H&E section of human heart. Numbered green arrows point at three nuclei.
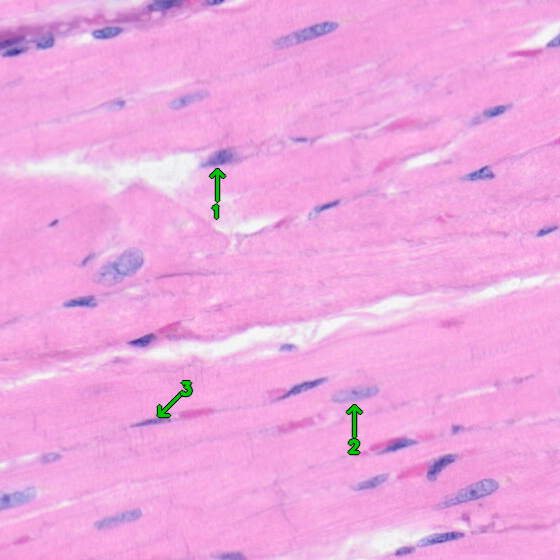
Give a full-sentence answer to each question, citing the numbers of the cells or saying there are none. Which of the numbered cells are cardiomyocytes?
Just one numbered cell is a cardiomyocyte, and that cell is number 2.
